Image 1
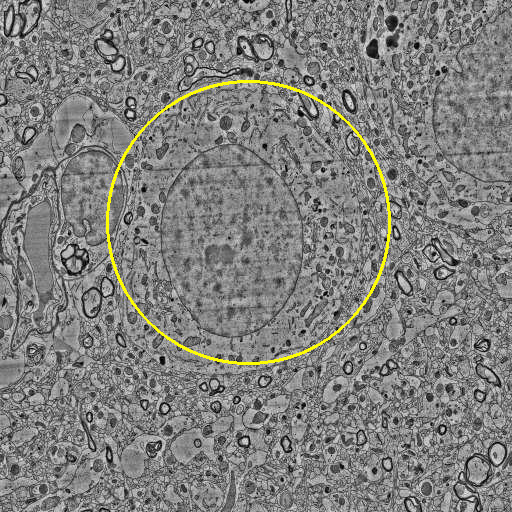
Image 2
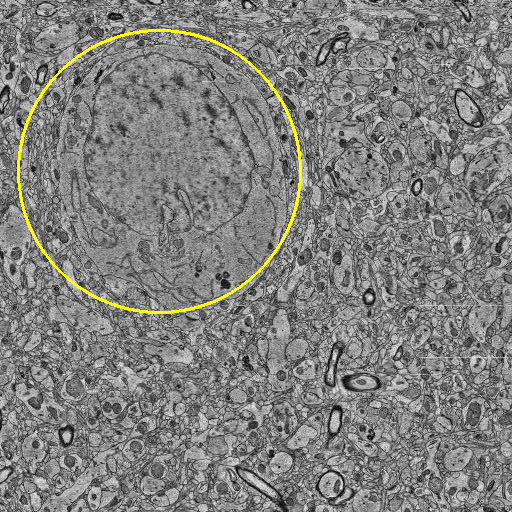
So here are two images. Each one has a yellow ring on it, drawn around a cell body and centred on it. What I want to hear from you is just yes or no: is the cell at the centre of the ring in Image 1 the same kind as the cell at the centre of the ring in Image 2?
yes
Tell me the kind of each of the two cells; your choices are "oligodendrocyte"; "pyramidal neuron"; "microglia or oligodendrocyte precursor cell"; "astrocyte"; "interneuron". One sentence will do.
In the first picture and in the second, the ring is centred on an interneuron.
